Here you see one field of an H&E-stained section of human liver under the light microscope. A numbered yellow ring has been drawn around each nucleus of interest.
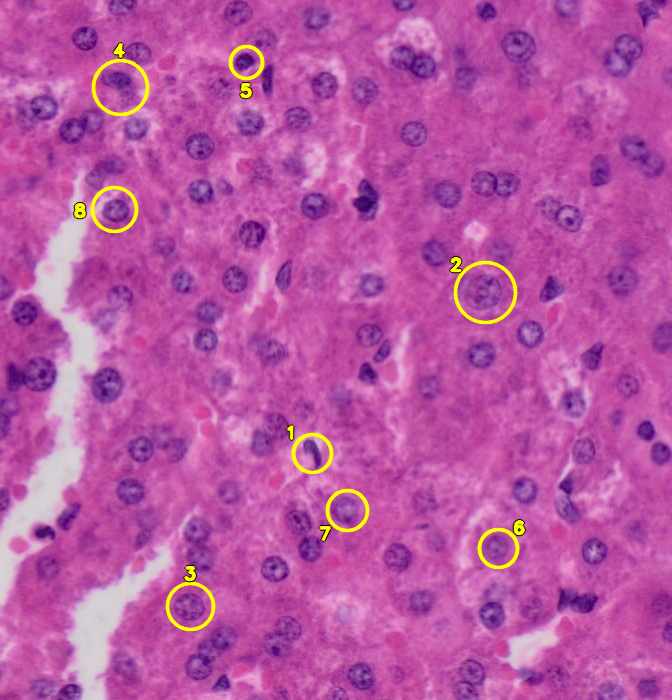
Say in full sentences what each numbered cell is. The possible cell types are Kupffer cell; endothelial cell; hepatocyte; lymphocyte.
Cell 1 is an endothelial cell, cell 2 is a hepatocyte, cell 3 is a hepatocyte, cell 4 is a Kupffer cell, cell 5 is a lymphocyte, cell 6 is a hepatocyte, cell 7 is a hepatocyte and cell 8 is a hepatocyte.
